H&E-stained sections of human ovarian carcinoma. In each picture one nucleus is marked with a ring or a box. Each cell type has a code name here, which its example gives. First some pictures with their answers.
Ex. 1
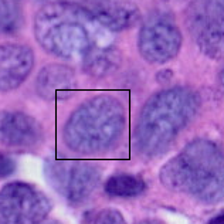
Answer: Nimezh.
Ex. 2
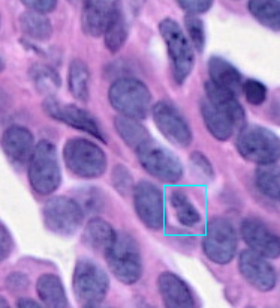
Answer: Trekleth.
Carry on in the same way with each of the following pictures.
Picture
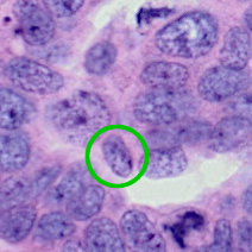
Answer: Trekleth.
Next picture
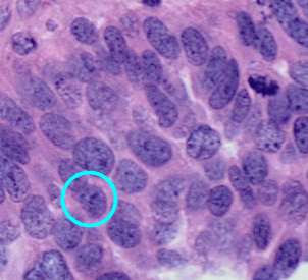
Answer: Nimezh.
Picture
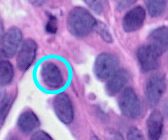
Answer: Nimezh.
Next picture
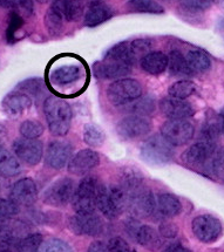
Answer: Trekleth.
